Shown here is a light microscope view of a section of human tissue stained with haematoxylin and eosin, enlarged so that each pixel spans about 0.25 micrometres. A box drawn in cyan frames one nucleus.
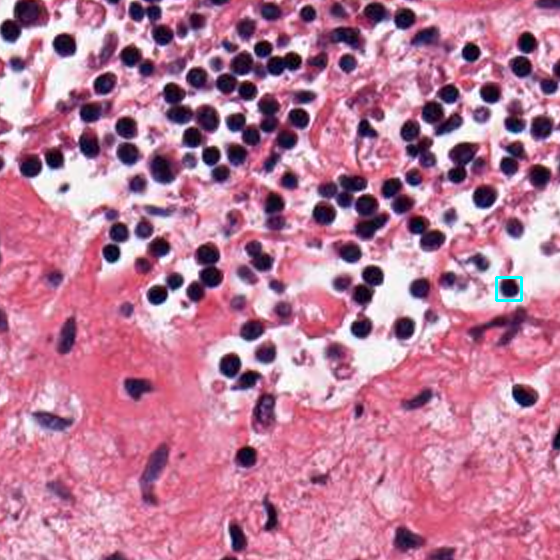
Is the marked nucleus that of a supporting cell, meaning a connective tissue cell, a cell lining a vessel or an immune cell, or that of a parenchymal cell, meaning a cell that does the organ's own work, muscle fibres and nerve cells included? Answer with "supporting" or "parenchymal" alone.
supporting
